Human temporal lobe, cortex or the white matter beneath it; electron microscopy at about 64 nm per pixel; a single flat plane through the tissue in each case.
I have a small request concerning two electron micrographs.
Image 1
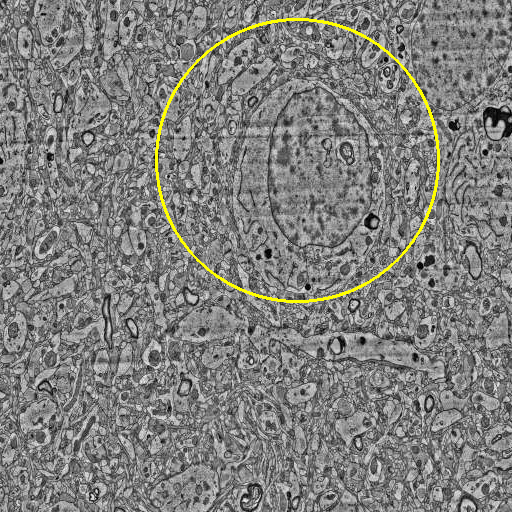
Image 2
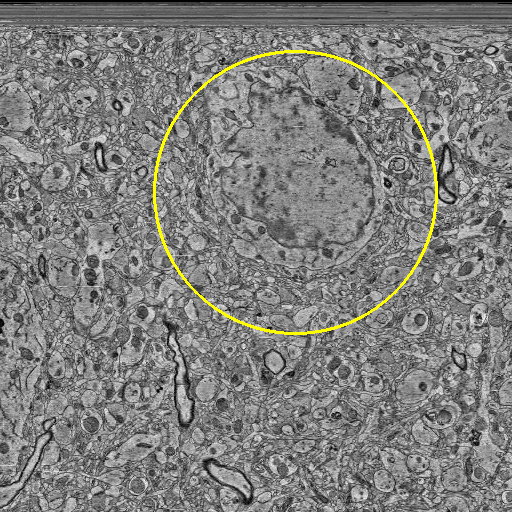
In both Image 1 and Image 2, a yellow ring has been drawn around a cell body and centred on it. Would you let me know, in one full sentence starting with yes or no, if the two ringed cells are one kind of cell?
No, the cells ringed in Image 1 and Image 2 are two kinds of cell.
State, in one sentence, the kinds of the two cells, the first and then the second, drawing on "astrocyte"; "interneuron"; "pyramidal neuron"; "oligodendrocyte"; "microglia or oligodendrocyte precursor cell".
The ring in the second picture is centred on an interneuron, the ring in the first on a pyramidal neuron.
